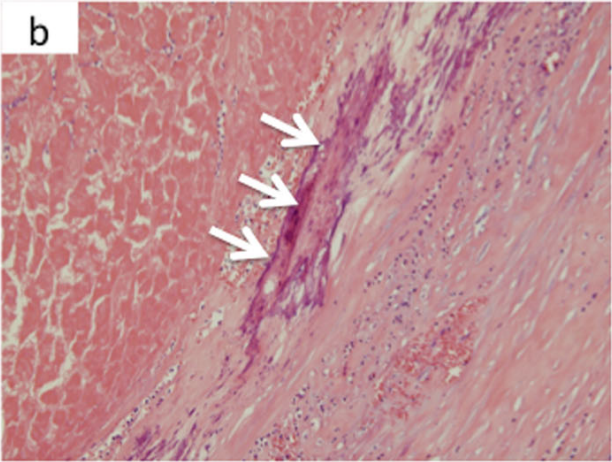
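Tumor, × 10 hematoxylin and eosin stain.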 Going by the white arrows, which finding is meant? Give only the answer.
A: calcifications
